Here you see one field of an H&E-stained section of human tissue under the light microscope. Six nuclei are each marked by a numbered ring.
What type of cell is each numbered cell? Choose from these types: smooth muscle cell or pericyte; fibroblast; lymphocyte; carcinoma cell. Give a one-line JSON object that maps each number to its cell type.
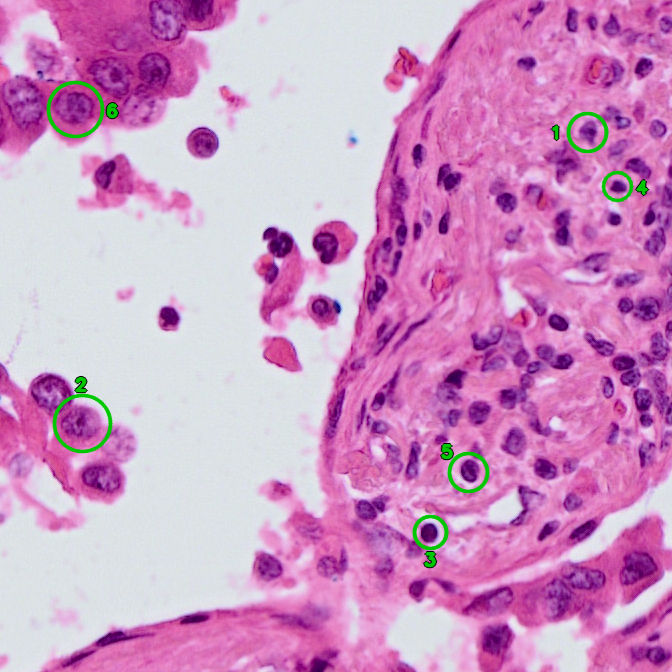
{"1": "lymphocyte", "2": "carcinoma cell", "3": "lymphocyte", "4": "lymphocyte", "5": "lymphocyte", "6": "carcinoma cell"}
